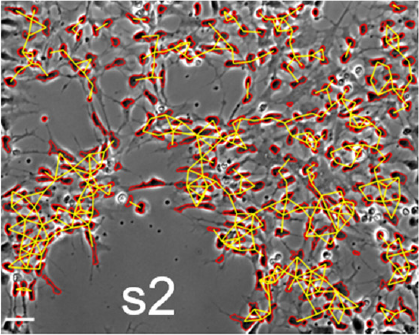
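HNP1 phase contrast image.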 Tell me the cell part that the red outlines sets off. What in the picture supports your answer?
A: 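Red contours enclose small compact phase-dark bodies of individual cells. Thin processes extend from the outlined bodies beyond the red contours.
Hence: soma.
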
